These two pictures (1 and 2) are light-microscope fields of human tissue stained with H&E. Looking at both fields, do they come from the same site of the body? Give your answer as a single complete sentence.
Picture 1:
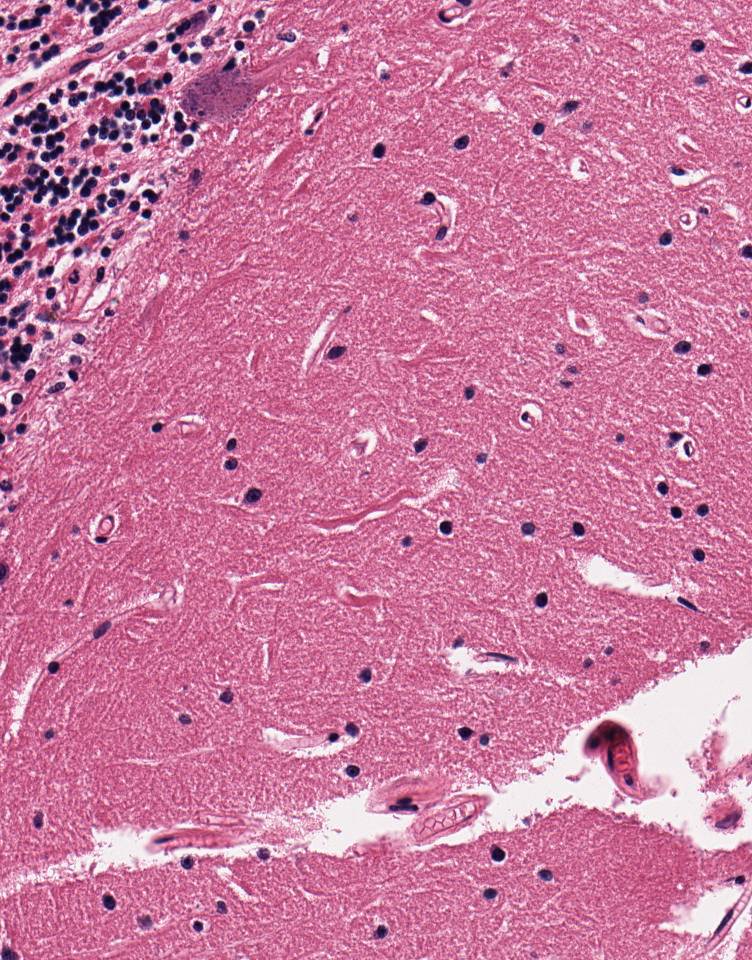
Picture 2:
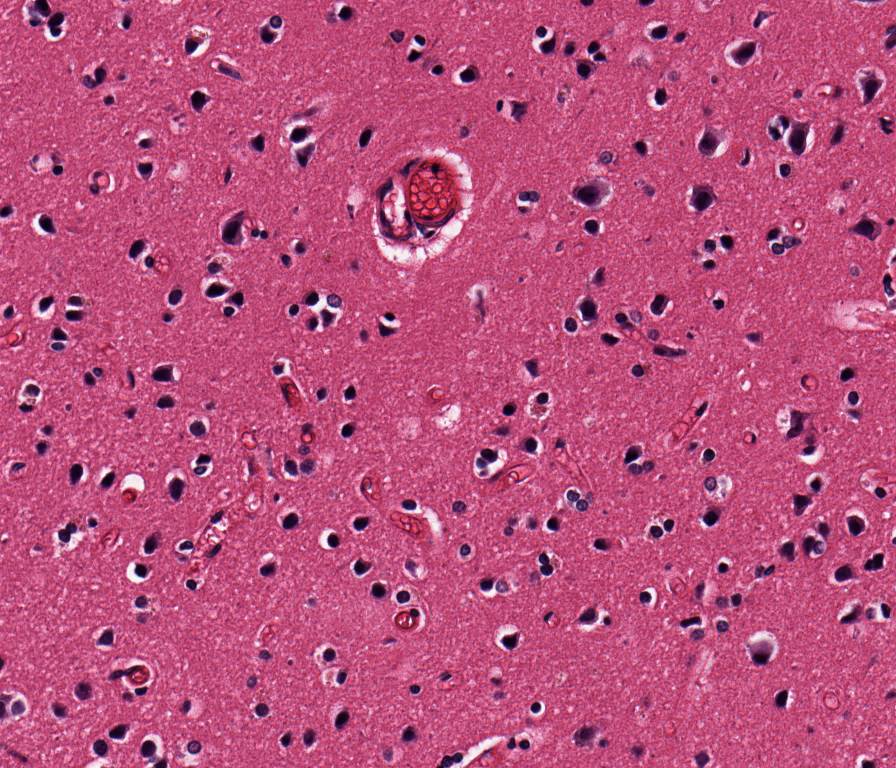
No, picture 1 comes from the cerebellum and picture 2 comes from the cerebral cortex.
